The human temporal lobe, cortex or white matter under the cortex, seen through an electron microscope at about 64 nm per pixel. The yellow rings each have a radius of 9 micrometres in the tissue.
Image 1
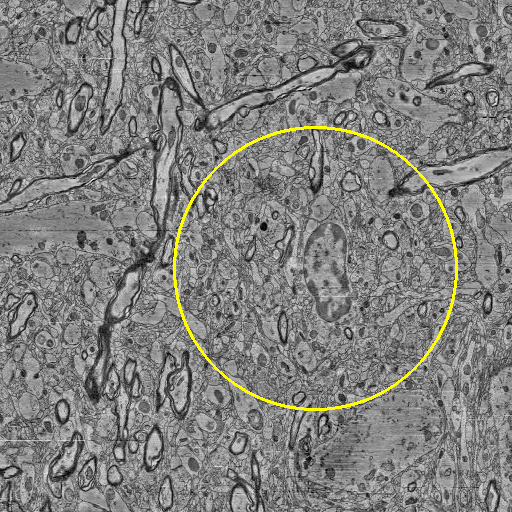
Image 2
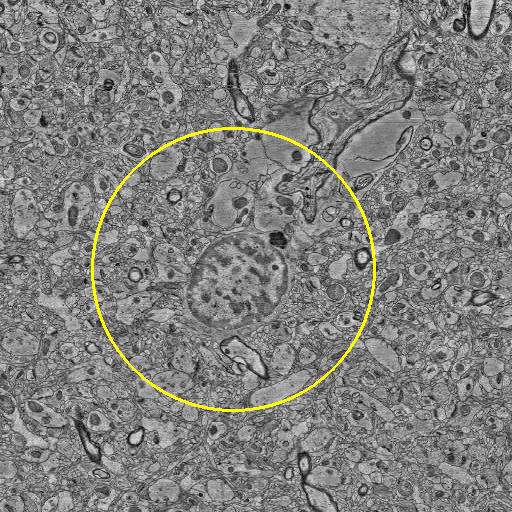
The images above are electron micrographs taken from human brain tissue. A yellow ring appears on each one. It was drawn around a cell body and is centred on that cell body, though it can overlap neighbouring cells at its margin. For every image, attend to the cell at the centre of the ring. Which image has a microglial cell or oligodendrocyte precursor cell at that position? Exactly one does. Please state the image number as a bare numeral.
1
